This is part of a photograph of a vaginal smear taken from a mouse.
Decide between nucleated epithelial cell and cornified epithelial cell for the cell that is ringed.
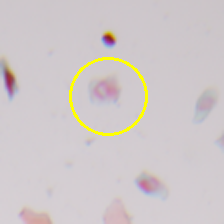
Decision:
I take the ringed cell for a nucleated epithelial cell.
